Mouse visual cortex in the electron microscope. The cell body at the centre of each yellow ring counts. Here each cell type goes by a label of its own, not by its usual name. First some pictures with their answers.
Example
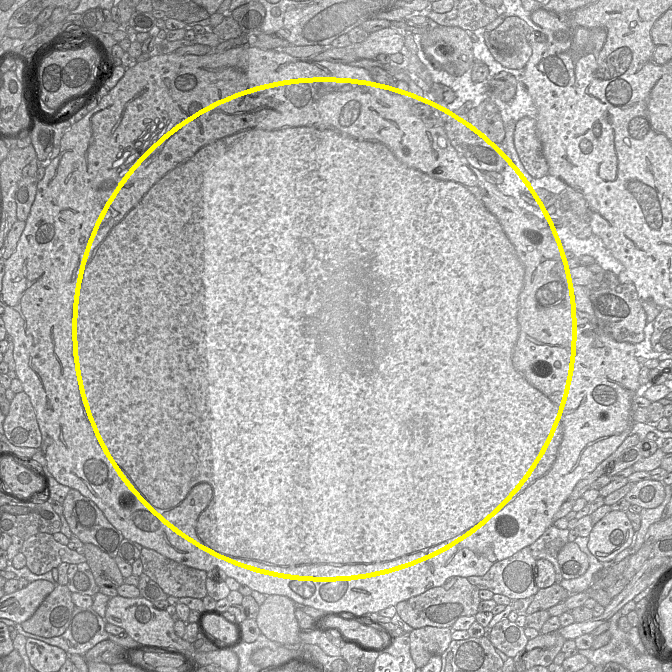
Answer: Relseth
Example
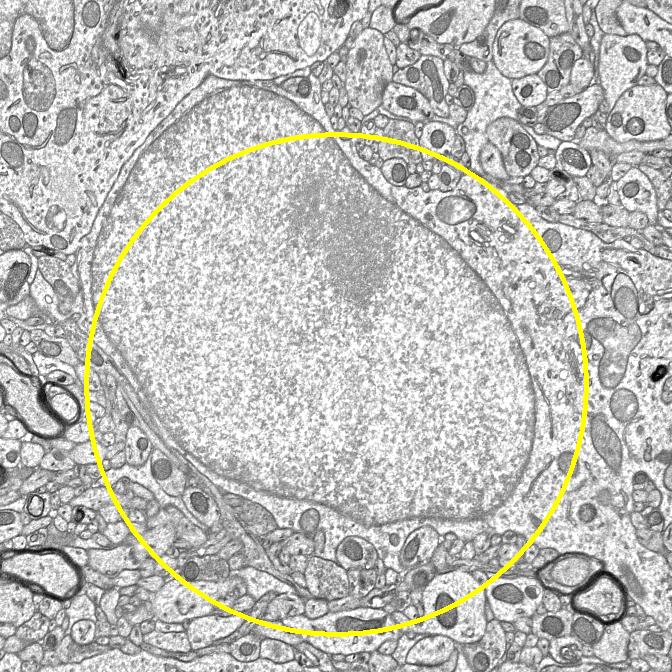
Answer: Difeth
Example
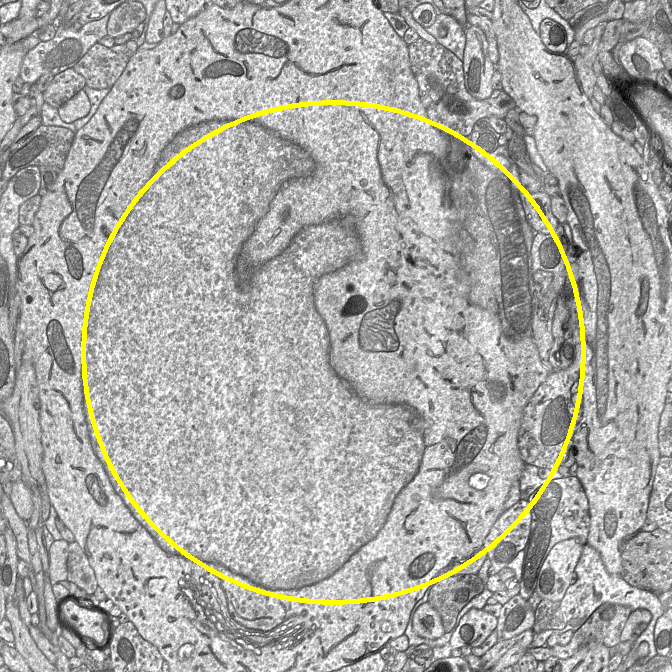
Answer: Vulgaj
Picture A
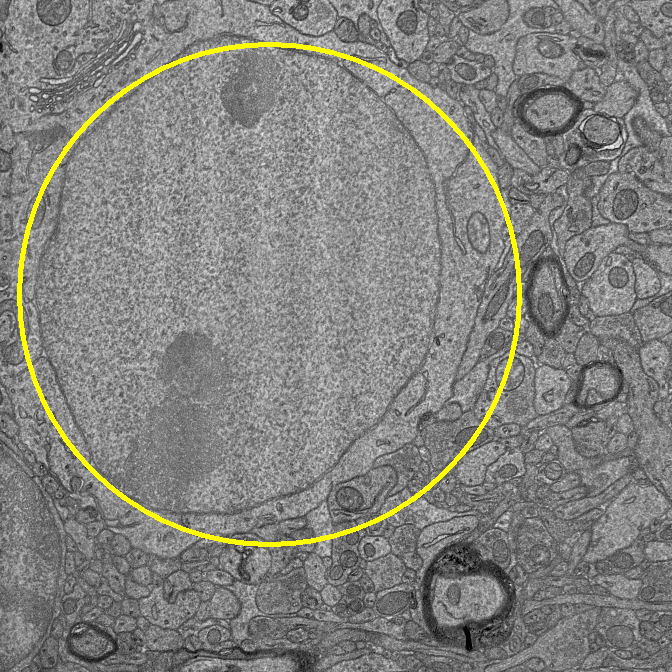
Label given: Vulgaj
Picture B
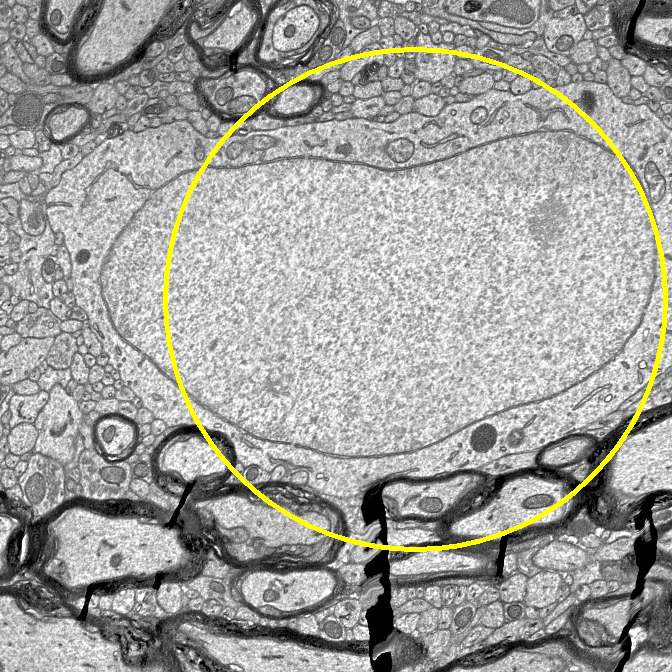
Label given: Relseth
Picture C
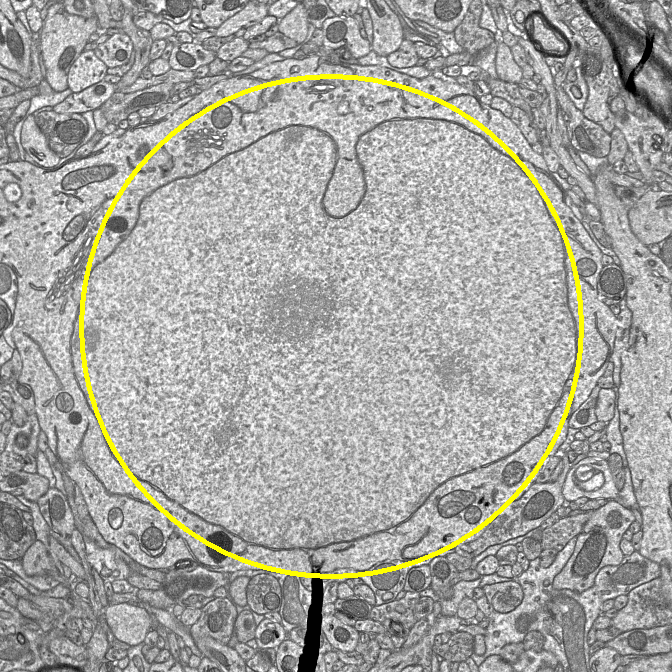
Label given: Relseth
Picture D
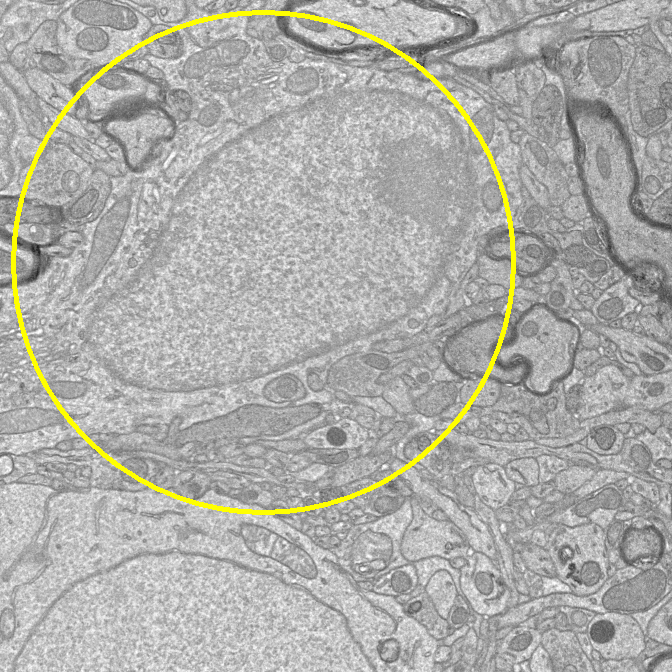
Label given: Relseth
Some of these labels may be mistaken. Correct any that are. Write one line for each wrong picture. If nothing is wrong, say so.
A: Relseth, not Vulgaj
D: Difeth, not Relseth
